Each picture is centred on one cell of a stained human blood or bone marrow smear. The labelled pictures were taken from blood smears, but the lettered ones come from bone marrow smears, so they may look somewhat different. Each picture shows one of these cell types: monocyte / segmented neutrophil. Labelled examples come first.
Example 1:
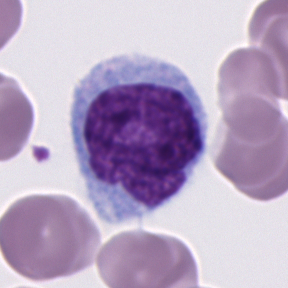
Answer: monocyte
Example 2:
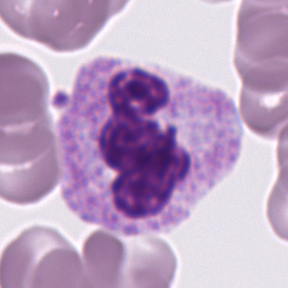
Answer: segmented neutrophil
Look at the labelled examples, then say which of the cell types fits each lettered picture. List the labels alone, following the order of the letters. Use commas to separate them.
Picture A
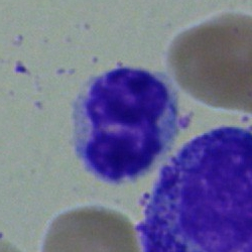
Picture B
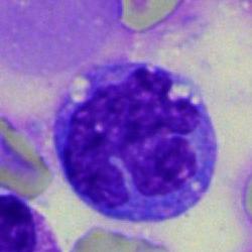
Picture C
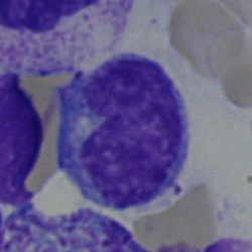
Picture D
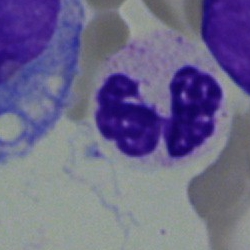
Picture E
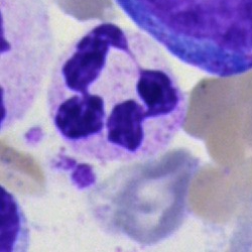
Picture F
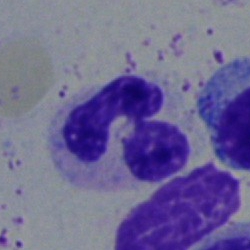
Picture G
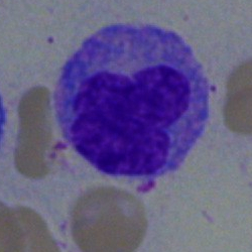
monocyte, monocyte, monocyte, segmented neutrophil, segmented neutrophil, segmented neutrophil, monocyte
